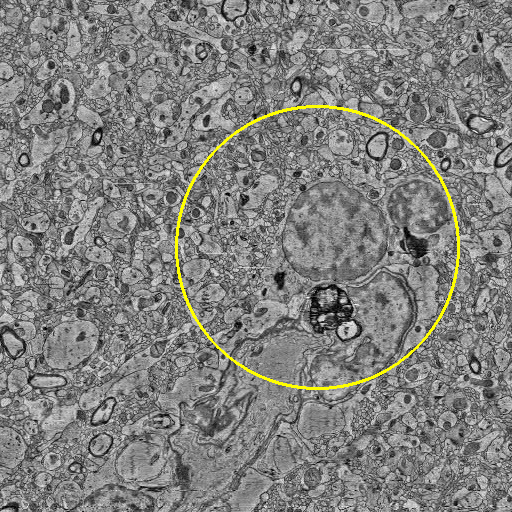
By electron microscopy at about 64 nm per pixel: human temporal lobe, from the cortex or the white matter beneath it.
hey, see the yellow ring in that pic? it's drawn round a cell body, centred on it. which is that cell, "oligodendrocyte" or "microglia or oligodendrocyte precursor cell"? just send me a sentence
The cell in the ring is an oligodendrocyte.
